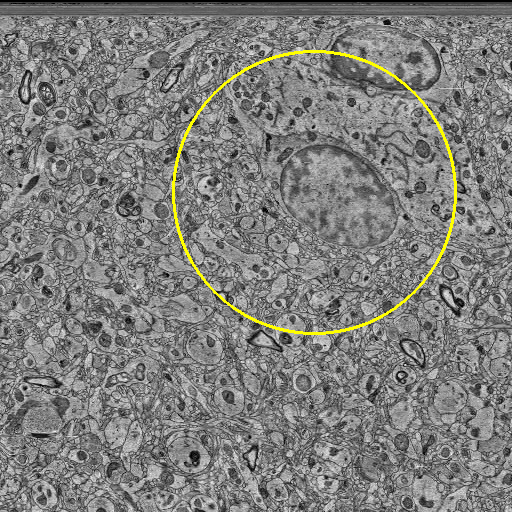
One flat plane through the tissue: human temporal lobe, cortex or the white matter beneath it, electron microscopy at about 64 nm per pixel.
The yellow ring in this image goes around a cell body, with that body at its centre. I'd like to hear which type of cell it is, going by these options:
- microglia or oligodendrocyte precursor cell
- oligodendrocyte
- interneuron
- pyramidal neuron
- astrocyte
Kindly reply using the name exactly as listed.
oligodendrocyte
